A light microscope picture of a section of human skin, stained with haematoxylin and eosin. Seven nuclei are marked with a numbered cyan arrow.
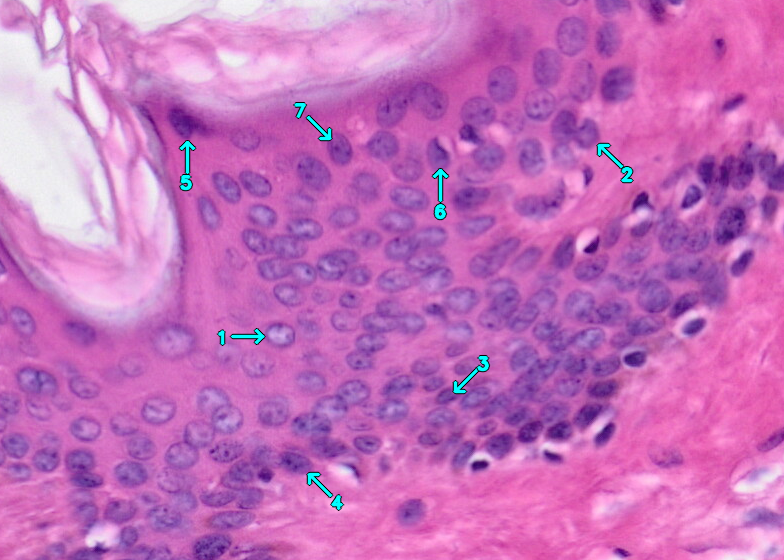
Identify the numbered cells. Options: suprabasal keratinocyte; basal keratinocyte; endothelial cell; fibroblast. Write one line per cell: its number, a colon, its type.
1: suprabasal keratinocyte
2: basal keratinocyte
3: basal keratinocyte
4: basal keratinocyte
5: suprabasal keratinocyte
6: suprabasal keratinocyte
7: suprabasal keratinocyte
